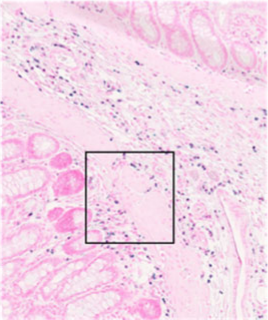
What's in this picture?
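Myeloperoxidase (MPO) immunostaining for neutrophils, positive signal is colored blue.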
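This is colonic mucosa, with crypts lined by goblet-cell-rich columnar epithelium at the top and in the lower left, some cut across as rounded profiles. Between and beneath them lies a broad band of loose connective tissue holding many small cells. The boxed area frames a zone of such blue cells next to the crypts, while the epithelium remains pink.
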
